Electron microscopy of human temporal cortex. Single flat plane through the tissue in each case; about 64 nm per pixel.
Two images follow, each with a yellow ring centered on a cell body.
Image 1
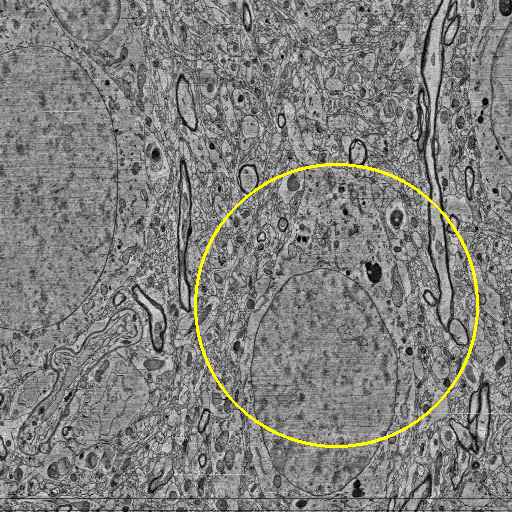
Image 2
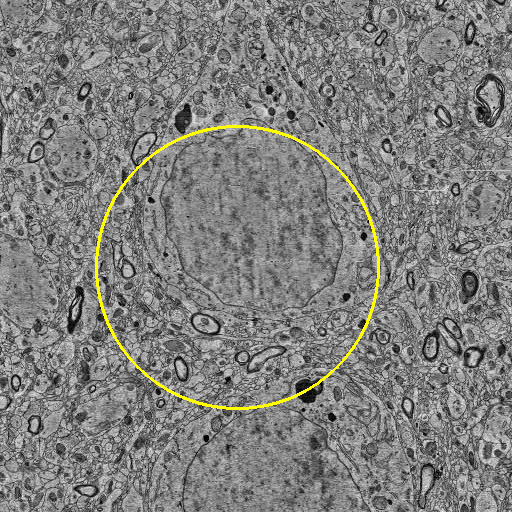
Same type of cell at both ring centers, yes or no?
yes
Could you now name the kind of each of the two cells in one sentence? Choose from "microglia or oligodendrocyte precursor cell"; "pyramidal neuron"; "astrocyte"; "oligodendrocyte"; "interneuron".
In each picture the ringed cell is a pyramidal neuron.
